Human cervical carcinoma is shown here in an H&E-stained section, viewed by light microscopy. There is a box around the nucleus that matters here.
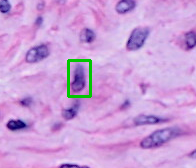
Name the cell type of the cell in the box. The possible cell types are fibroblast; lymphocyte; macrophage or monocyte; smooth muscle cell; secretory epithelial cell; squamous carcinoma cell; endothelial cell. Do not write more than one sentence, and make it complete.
Placed in its cell category, the cell in the box is a smooth muscle cell.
